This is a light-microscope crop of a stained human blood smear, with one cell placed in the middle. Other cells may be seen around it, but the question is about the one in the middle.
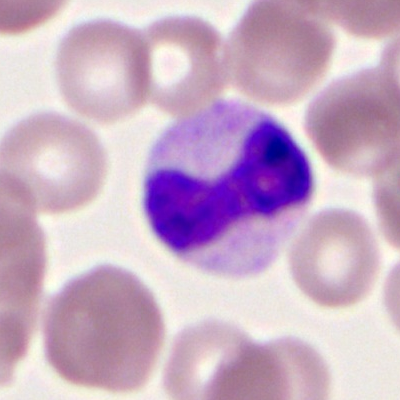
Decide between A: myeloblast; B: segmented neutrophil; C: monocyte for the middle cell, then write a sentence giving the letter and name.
Option B holds, for the cell in the middle is a segmented neutrophil.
